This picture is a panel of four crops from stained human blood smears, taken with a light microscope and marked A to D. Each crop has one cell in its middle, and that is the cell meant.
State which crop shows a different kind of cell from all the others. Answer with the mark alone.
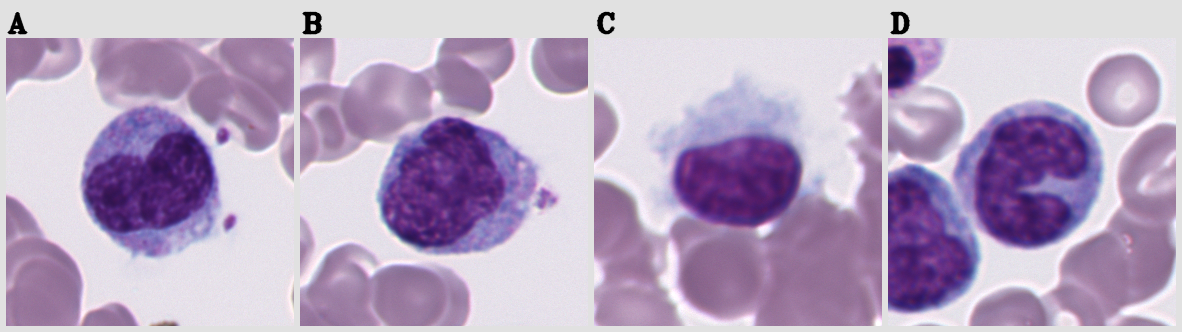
C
